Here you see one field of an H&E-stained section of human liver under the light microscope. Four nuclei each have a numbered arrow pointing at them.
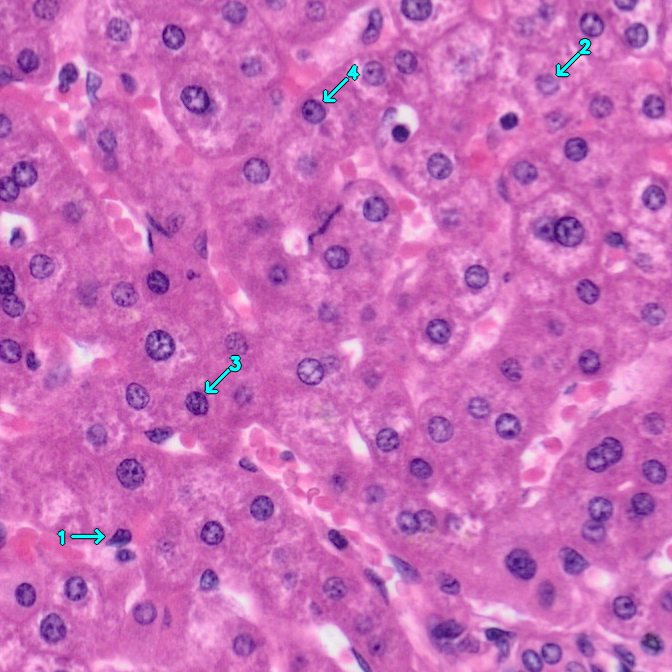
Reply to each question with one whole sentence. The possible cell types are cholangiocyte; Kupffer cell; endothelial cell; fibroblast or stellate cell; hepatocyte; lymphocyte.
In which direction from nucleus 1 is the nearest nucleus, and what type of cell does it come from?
The nearest nucleus is that of a lymphocyte and lies below nucleus 1.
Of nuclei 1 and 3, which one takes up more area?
Nucleus 3 is larger, with an area about 1.5 times that of nucleus 1.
